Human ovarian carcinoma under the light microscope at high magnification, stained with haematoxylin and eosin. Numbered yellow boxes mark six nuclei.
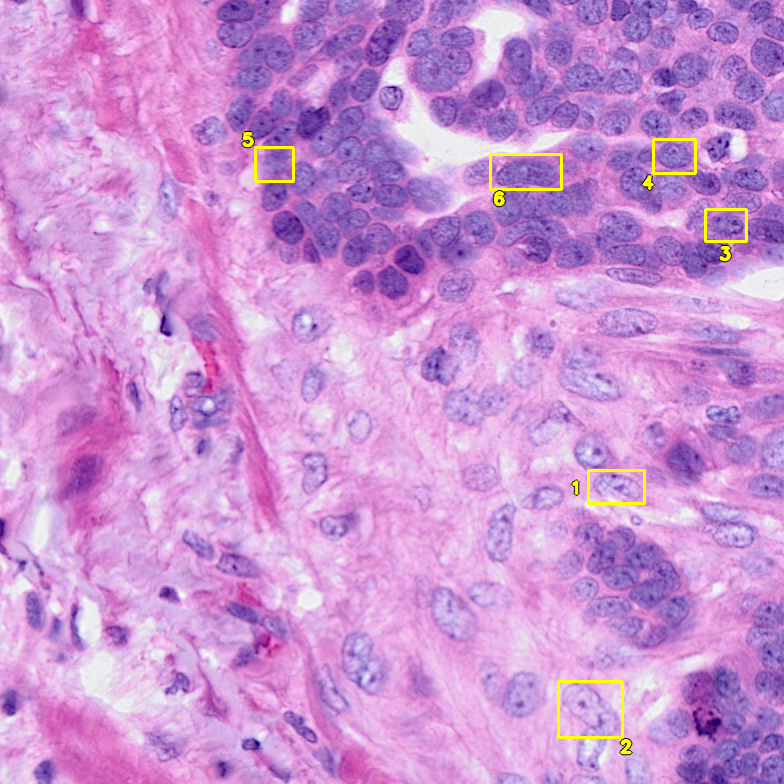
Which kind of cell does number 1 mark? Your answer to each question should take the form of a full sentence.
The numbered cell 1 in this field is a fibroblast.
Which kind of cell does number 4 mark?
Recognised here as a carcinoma cell is the cell numbered 4.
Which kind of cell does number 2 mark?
Among the marked cells, number 2 is a fibroblast.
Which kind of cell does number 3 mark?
Identified by the number 3, the cell is a carcinoma cell.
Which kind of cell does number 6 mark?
Cell 6 should be recorded as a carcinoma cell.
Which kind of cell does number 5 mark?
Among the marked nuclei, number 5 belongs to a carcinoma cell.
